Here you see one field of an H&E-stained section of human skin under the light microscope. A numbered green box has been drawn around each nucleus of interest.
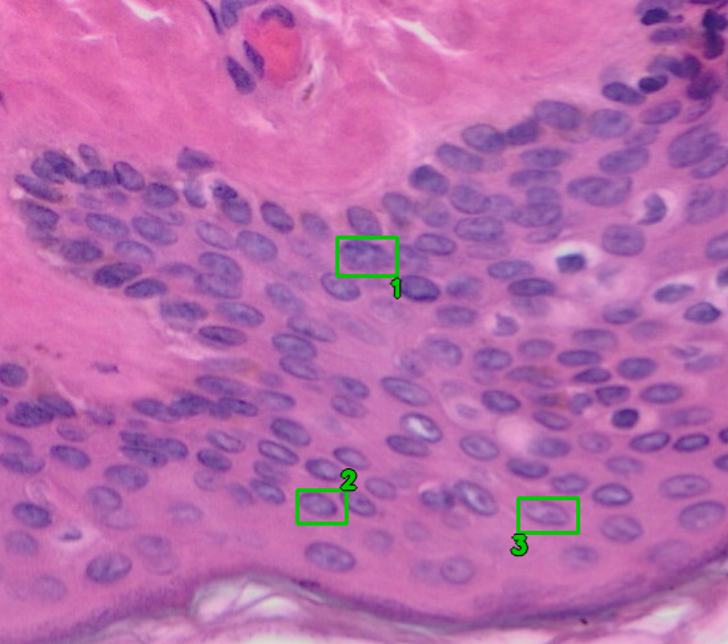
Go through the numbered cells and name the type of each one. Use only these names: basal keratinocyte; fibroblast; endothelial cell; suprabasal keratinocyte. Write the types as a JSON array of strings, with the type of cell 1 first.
["basal keratinocyte", "suprabasal keratinocyte", "suprabasal keratinocyte"]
